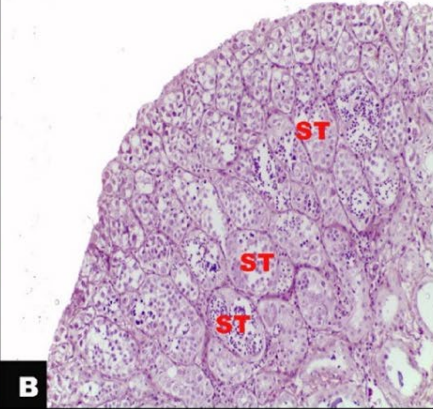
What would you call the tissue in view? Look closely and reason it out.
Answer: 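Testis. The tissue is divided into many rounded tubular profiles bounded by thin pink walls. The tubules are filled with small cells with dark round nuclei.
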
